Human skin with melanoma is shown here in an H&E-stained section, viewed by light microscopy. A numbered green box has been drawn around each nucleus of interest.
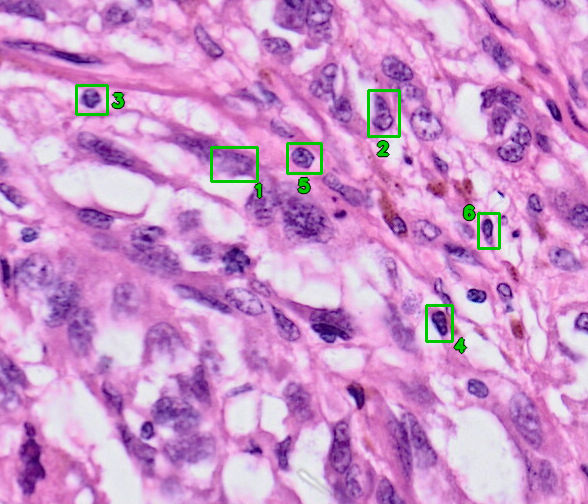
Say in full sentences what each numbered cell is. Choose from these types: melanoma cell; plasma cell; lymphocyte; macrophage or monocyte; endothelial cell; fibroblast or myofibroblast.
Cell 1 is a melanoma cell, cell 2 is a melanoma cell, cell 3 is a lymphocyte, cell 4 is a plasma cell, cell 5 is a lymphocyte and cell 6 is a lymphocyte.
